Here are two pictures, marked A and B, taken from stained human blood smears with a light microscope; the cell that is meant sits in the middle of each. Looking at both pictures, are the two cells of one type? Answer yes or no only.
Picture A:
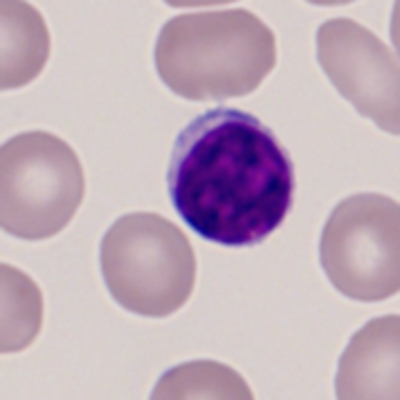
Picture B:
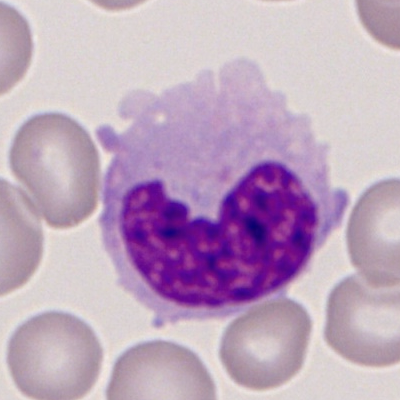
no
